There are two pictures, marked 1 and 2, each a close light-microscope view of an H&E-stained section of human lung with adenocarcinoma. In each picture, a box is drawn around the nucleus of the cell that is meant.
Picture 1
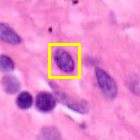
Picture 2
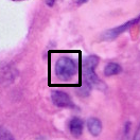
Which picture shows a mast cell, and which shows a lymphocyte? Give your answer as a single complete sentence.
Picture 1 is of a mast cell, and picture 2 is of a lymphocyte.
